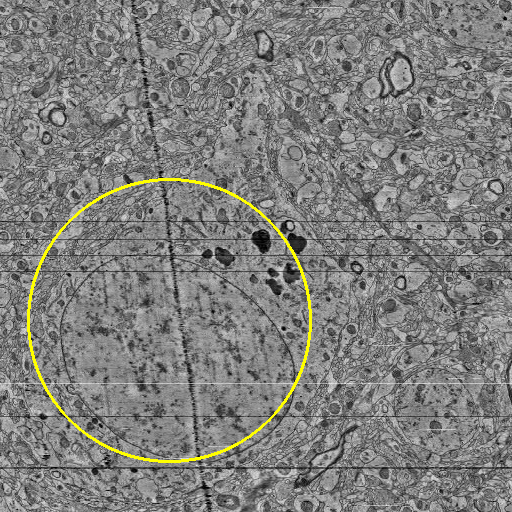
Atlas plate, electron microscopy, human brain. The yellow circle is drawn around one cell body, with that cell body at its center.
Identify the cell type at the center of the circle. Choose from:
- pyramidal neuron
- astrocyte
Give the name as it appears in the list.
pyramidal neuron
